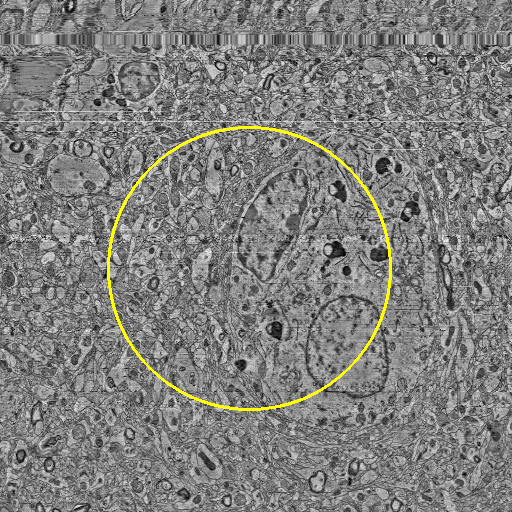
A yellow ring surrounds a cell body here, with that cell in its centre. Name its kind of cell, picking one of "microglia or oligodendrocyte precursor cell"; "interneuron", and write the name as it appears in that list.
microglia or oligodendrocyte precursor cell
